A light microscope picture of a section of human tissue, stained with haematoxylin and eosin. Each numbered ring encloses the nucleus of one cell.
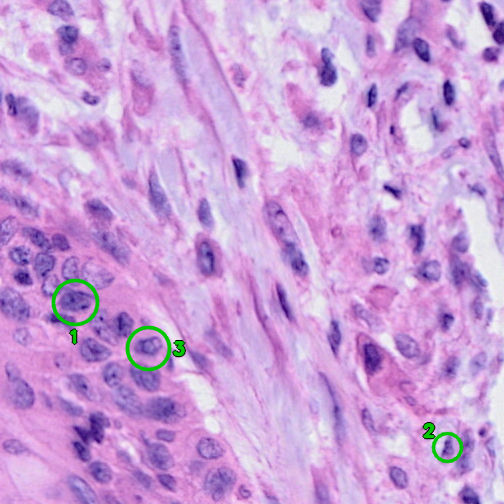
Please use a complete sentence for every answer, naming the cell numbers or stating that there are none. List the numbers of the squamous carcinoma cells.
To be specific, the cells numbered 1 and 3 are squamous carcinoma cells.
